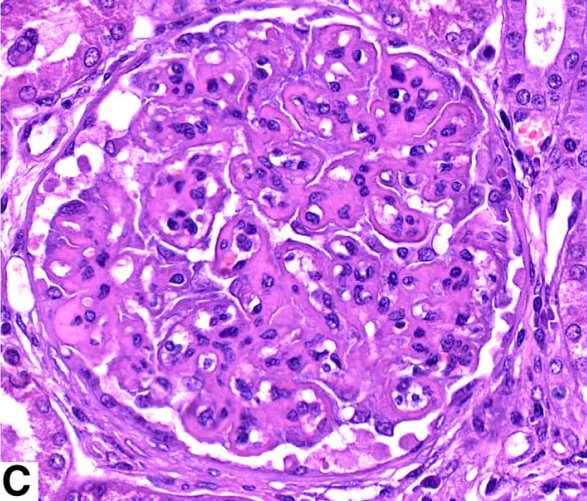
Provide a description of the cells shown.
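A glomerulus fills most of the field, its capillary tuft enlarged and divided into distinct lobules that nearly fill the space within the capsule. Broad pink-magenta material expands the centres of the lobules and thickens the capillary walls, leaving few and narrow open capillary lumens. Numerous dark blue nuclei crowd the tuft. Tubules with cuboidal epithelial cells surround the capsule.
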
